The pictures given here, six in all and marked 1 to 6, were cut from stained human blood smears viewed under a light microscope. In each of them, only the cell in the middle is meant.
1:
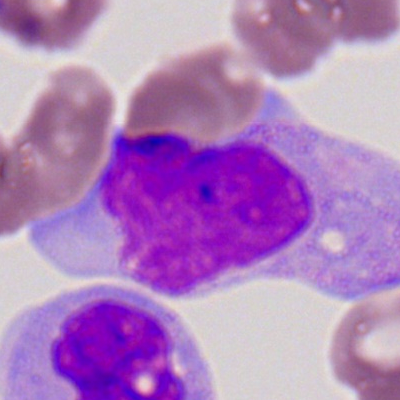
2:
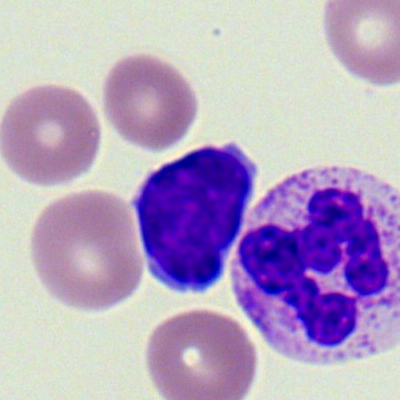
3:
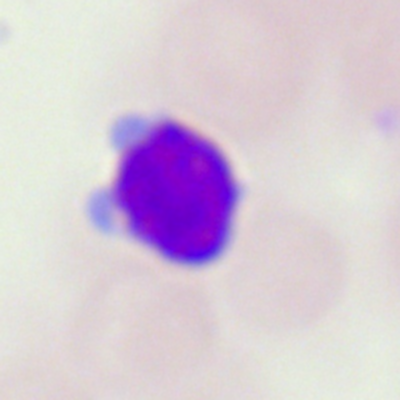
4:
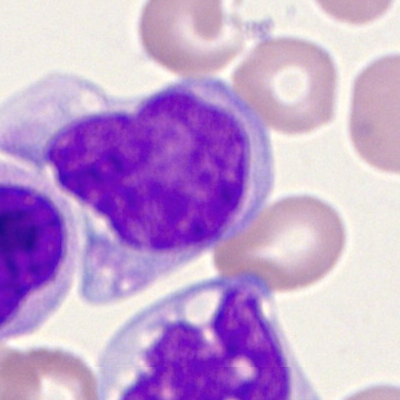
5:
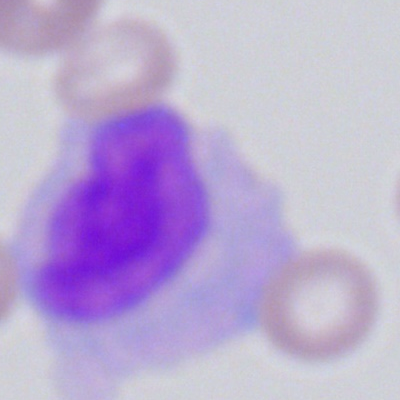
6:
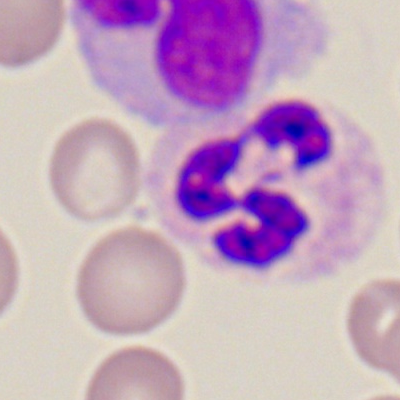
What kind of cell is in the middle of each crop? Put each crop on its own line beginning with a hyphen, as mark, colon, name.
- 1: monocyte
- 2: lymphocyte
- 3: lymphocyte
- 4: monocyte
- 5: monocyte
- 6: neutrophil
